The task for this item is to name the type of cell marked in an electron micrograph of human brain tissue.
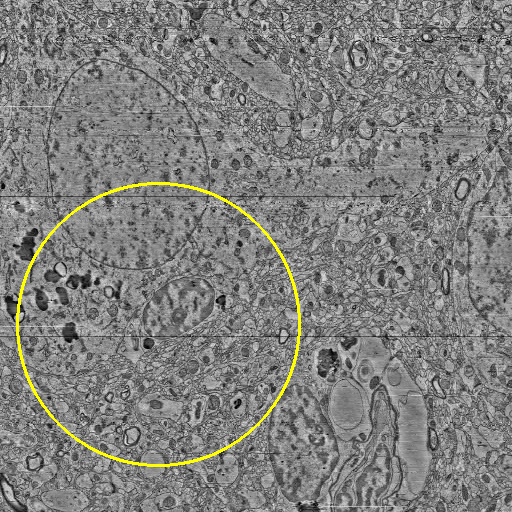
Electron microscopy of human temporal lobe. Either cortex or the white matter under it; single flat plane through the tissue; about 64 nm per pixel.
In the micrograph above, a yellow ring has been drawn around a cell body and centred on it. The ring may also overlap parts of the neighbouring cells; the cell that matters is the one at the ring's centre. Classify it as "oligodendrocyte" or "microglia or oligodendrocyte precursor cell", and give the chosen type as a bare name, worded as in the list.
microglia or oligodendrocyte precursor cell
